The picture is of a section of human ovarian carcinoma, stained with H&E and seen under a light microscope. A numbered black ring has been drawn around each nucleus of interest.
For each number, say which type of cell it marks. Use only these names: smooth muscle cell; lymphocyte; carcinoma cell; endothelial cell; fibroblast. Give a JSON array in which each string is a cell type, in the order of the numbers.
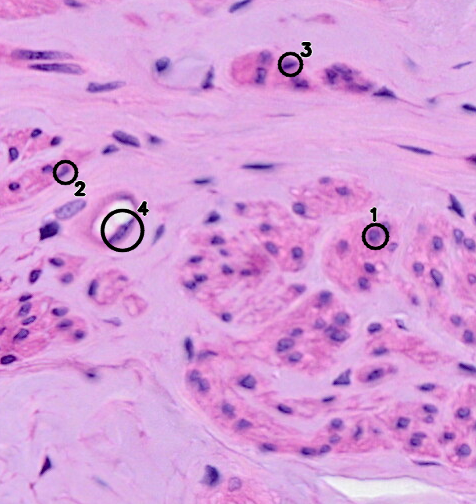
["smooth muscle cell", "smooth muscle cell", "smooth muscle cell", "endothelial cell"]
